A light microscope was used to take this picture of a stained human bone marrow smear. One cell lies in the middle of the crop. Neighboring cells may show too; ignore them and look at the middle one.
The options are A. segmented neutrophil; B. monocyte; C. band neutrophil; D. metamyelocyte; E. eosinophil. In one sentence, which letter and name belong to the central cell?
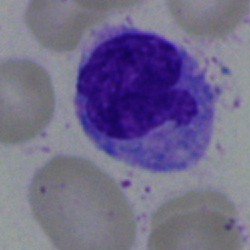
In the middle of the crop is a monocyte; option B is therefore correct.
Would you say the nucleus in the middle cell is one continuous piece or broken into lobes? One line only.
In this cell the nucleus is a solitary compact mass, round, oval or kidney-shaped.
